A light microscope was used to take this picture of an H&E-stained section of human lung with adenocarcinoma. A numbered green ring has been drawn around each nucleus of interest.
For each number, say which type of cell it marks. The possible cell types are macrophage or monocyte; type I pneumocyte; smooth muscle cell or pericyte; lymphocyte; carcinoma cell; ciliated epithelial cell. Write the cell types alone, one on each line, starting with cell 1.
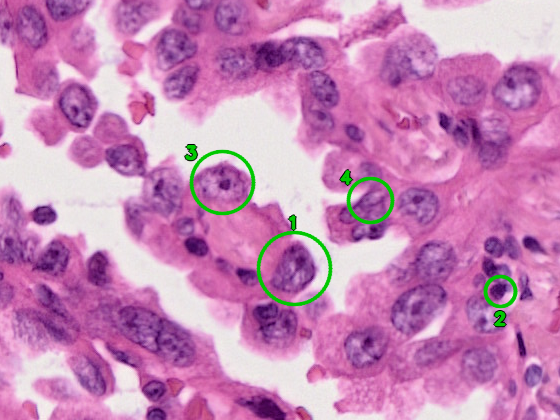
carcinoma cell
lymphocyte
carcinoma cell
carcinoma cell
